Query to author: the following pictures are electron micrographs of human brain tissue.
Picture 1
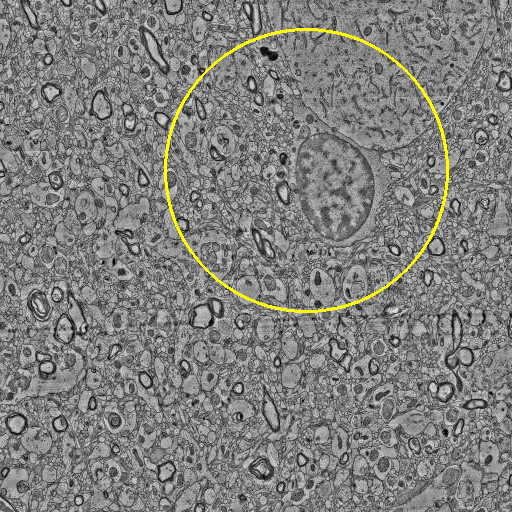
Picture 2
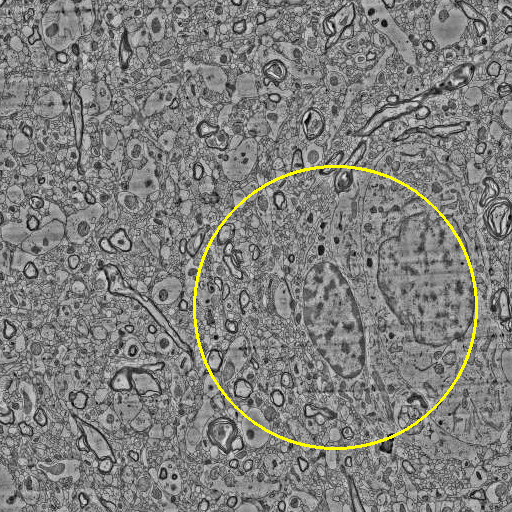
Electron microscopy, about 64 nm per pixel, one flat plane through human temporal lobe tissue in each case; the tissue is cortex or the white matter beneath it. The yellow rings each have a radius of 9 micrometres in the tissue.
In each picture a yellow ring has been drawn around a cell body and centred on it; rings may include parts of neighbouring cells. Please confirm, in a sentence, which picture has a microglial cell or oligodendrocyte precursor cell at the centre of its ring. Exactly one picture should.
Picture 2 has it at the centre of its ring.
